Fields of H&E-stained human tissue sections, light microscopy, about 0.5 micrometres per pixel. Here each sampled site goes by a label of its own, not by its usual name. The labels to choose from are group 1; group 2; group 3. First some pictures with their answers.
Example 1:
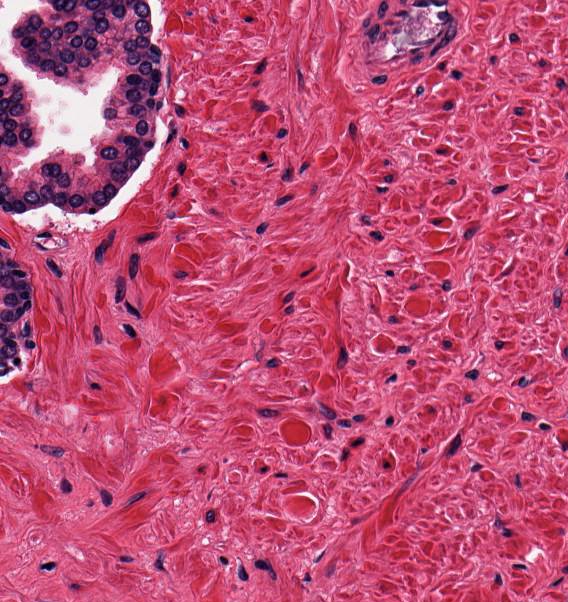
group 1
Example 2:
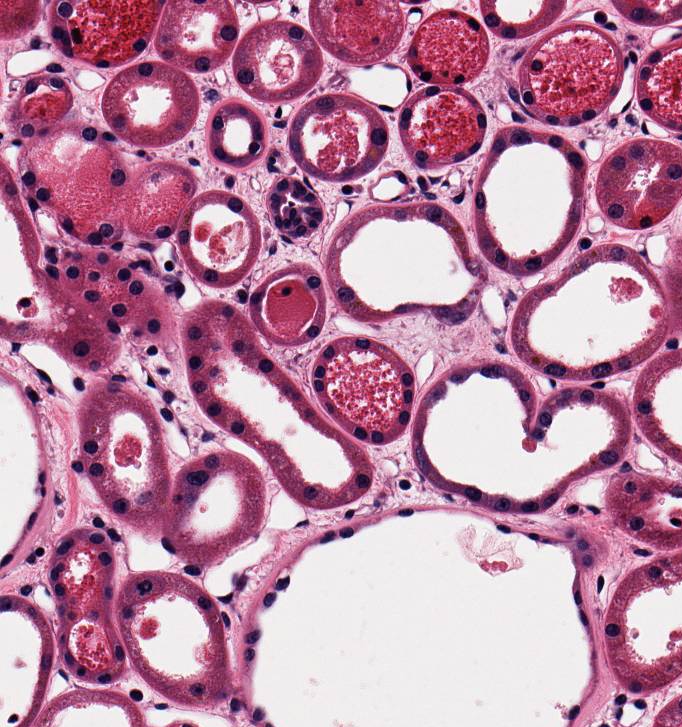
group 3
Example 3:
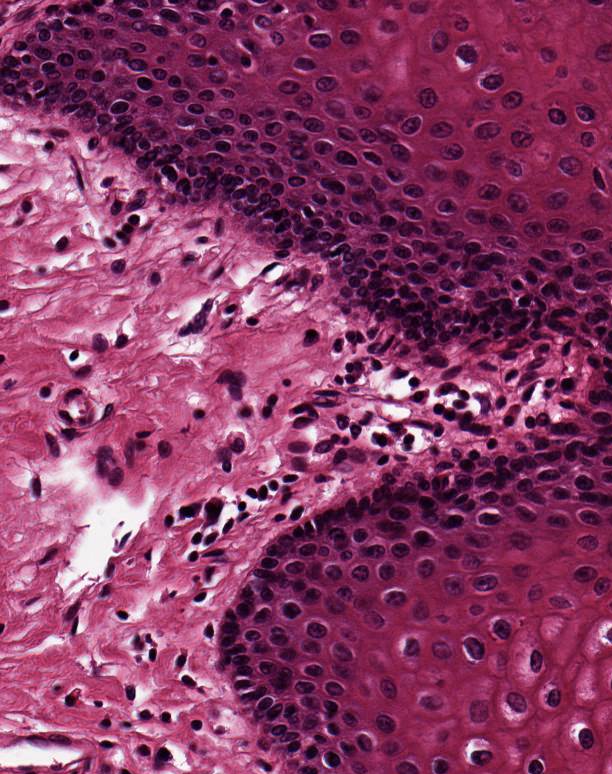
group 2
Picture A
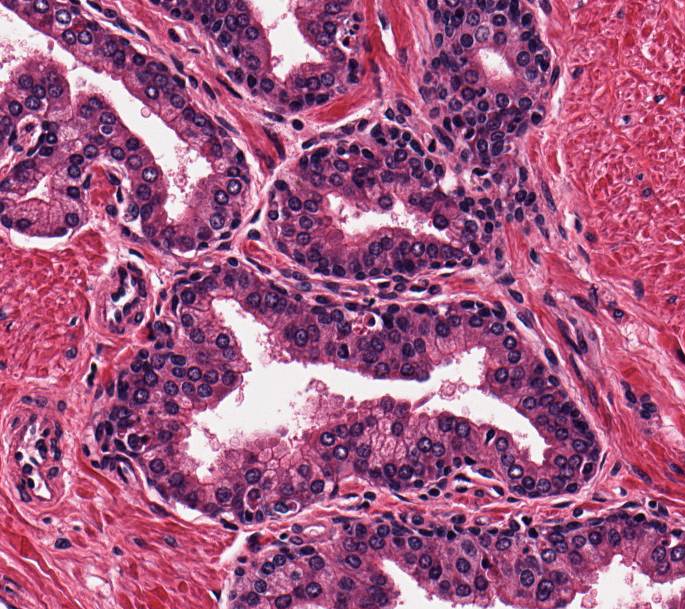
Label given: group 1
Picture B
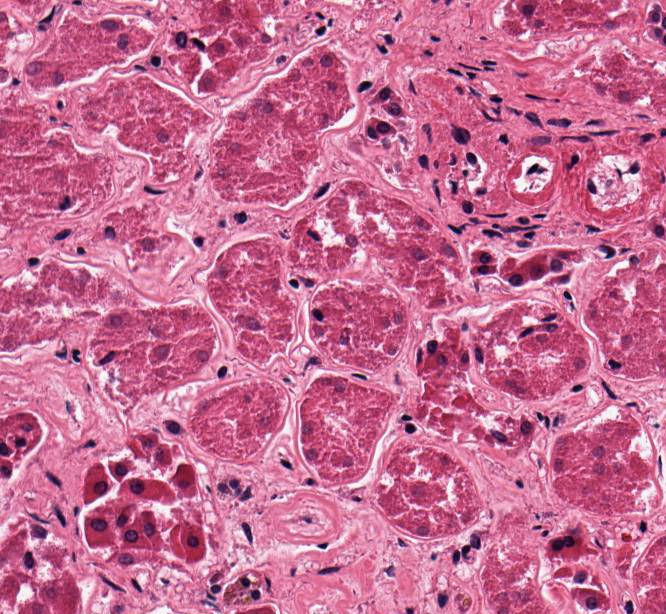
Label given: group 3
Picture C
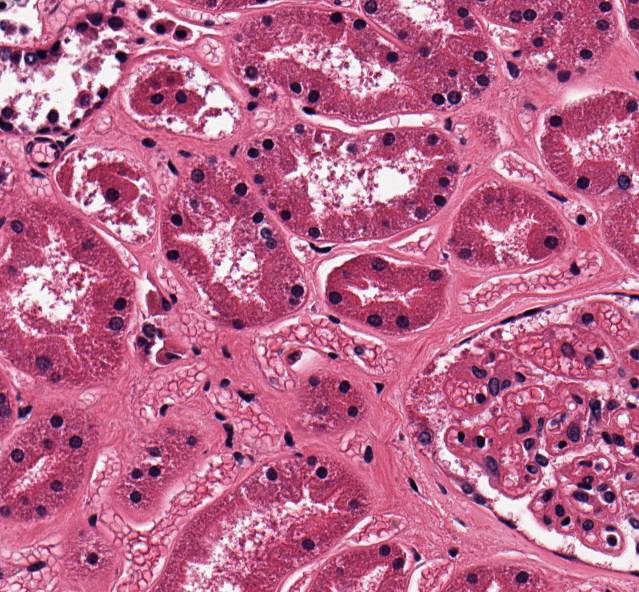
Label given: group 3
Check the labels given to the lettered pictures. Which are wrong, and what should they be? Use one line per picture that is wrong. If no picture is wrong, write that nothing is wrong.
Every label is right.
